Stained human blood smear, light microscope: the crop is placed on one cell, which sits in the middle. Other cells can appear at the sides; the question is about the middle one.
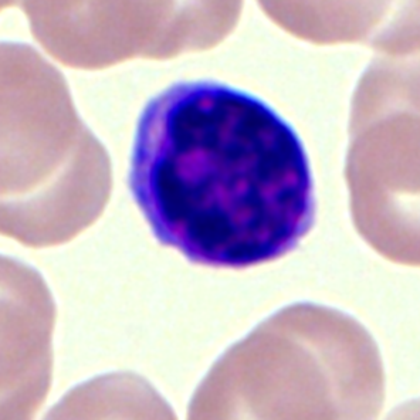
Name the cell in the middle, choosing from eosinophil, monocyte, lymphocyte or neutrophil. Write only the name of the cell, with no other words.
lymphocyte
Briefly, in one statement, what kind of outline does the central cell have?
Its surface contour is regular and smooth, without any protrusions.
